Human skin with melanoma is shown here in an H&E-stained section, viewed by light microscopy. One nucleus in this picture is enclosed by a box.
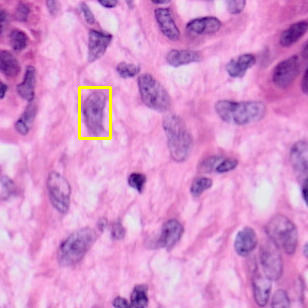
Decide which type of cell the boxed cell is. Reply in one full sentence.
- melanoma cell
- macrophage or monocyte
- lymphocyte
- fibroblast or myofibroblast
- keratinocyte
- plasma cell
For the purposes of cell typing, the boxed cell is categorized as a fibroblast or myofibroblast.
